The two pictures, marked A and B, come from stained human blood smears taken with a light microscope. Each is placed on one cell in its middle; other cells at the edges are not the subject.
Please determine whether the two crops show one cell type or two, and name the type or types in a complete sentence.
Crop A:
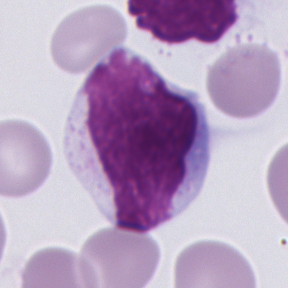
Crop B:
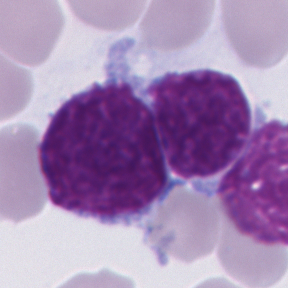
No, crop A represents a large granular lymphocyte, and crop B represents a blast.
